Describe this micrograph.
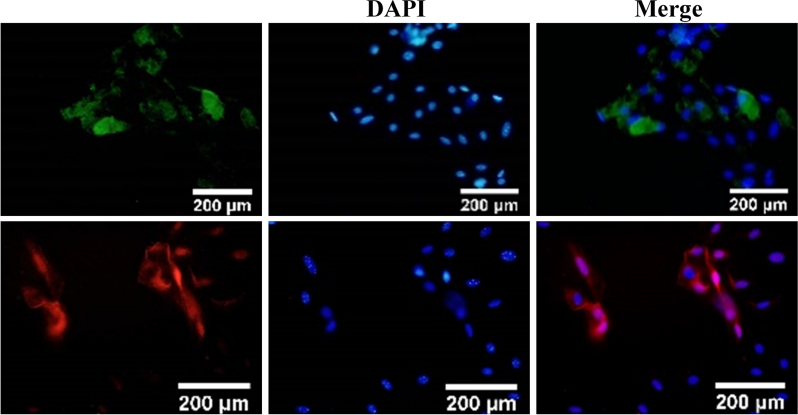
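Scattered cultured cells lie in a loose monolayer, and each is marked by a small oval blue nucleus, with many nuclei standing apart from one another. In the top row, green stain fills the cytoplasm of a subset of the cells as irregular, flattened patches around some of the nuclei. Where these green cells lie close together they form a small cluster, while many blue nuclei nearby have no green around them. In the bottom row, red stain outlines elongated, spread cells, and in the merged view it surrounds and overlies several nuclei. Here too only part of the cells carry the red stain, so the culture looks mixed, with the stained cells flattened and sheet-like.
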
